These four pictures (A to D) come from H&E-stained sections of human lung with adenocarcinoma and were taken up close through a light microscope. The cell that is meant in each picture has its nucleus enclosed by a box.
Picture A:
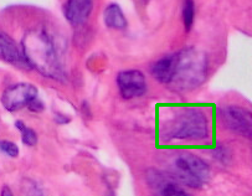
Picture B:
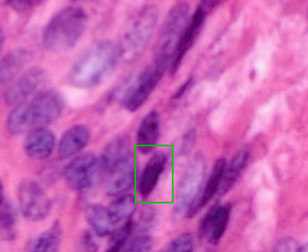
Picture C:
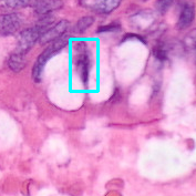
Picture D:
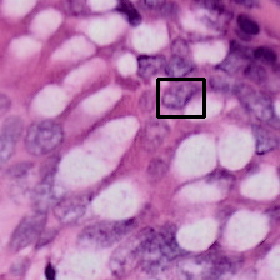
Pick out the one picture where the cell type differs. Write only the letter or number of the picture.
A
